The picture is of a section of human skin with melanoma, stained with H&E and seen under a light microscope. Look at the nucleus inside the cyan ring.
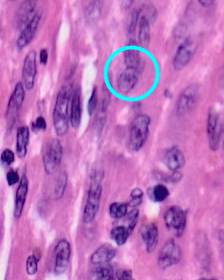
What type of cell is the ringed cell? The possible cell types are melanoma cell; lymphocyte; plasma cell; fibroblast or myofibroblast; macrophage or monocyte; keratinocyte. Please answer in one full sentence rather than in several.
By cell type, the ringed cell is a melanoma cell.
